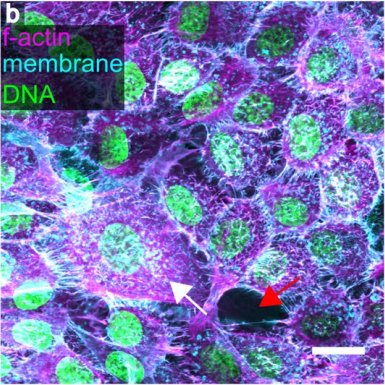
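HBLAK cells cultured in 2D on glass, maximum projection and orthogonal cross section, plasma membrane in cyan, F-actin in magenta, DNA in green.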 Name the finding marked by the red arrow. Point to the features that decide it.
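The red arrow points to a dark gap between cells. That points to this answer: Cell junction integrity was disrupted.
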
